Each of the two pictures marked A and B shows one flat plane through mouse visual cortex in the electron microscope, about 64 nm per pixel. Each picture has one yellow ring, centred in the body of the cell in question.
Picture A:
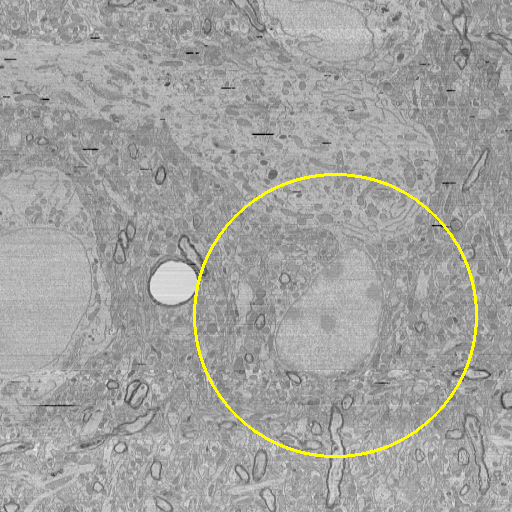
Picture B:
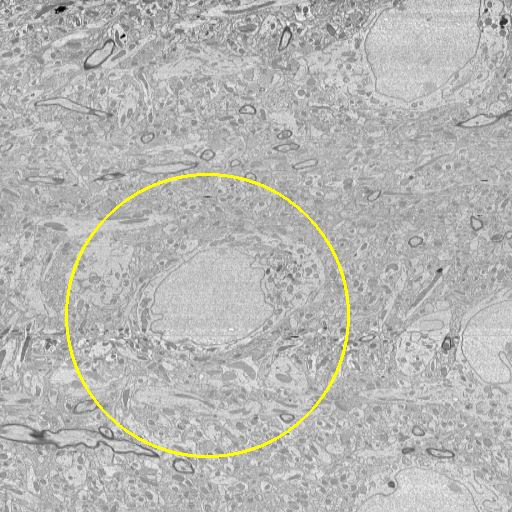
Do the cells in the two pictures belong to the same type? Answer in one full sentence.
No; the cell in picture A is an astrocyte, while the one in picture B is an inhibitory neuron.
